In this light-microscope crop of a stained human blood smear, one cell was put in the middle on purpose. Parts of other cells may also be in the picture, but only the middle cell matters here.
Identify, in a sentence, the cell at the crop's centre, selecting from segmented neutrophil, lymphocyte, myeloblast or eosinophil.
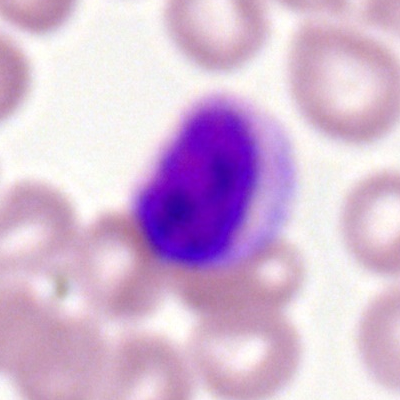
Classified as a lymphocyte is the cell in the middle of this crop.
